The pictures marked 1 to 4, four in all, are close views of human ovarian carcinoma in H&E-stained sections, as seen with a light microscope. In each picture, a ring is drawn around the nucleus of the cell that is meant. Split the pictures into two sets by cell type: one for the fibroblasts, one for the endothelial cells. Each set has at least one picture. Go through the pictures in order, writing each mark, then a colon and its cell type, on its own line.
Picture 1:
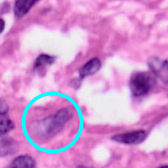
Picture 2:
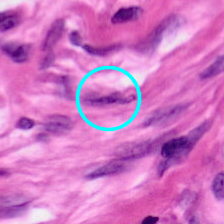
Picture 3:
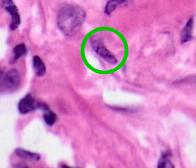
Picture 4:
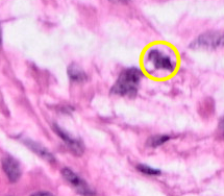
1: endothelial cell
2: fibroblast
3: fibroblast
4: fibroblast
